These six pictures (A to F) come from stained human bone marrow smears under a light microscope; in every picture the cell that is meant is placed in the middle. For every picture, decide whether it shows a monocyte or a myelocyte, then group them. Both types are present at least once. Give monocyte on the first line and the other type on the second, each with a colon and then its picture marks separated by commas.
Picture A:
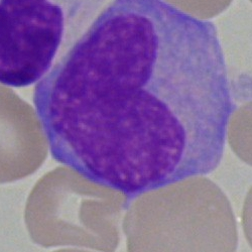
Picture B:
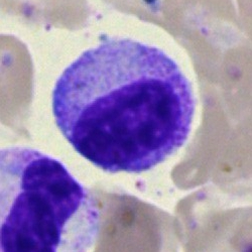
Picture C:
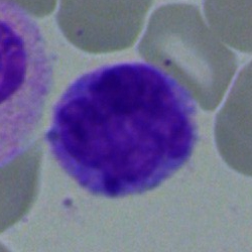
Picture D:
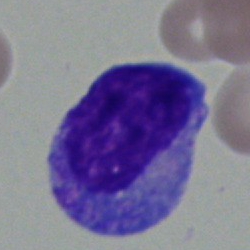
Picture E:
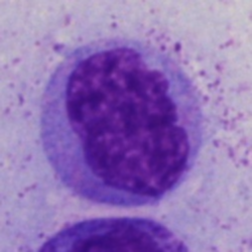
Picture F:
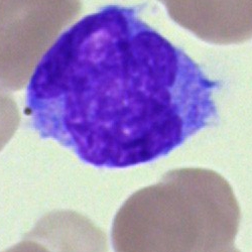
monocyte: A, C, E, F
myelocyte: B, D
